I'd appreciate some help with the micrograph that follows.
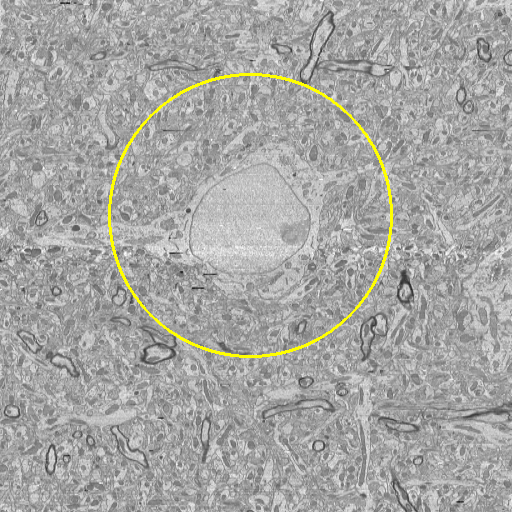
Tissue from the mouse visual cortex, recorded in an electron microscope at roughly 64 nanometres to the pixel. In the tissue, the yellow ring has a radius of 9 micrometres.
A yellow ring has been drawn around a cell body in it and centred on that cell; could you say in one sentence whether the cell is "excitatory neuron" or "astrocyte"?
It is an excitatory neuron at the centre of the ring.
